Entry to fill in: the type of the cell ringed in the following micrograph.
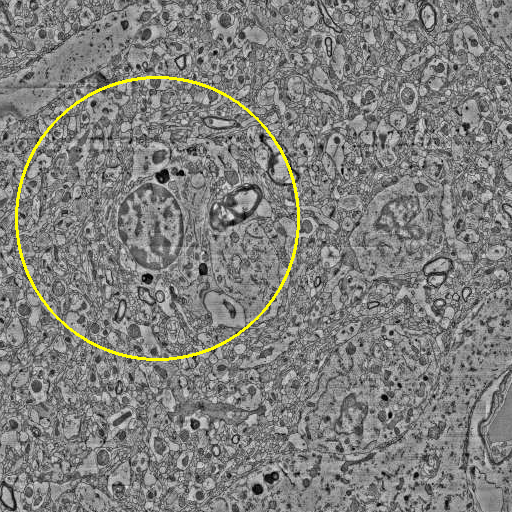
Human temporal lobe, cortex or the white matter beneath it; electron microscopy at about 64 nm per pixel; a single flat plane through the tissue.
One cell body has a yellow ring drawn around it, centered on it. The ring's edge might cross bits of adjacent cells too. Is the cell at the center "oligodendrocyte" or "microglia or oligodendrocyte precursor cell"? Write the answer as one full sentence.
This entry names a microglial cell or oligodendrocyte precursor cell as the cell whose body lies at the ring's center.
